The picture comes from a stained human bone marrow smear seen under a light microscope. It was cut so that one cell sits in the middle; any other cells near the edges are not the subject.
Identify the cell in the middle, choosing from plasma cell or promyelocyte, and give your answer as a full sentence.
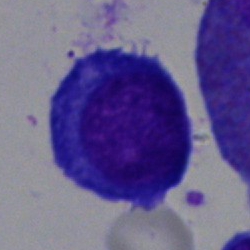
The cell the crop is centered on is a plasma cell.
